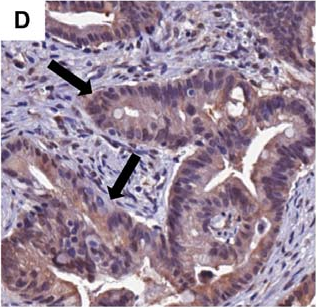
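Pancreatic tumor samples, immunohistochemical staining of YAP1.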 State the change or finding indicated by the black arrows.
ductal adenocarcinoma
